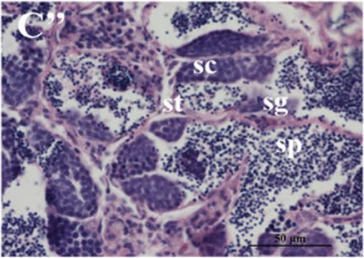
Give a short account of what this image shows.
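This testis section contains germ cells at several stages lying in a framework of somatic cells. Clusters of spermatocytes form compact groups of round cells with dark purple nuclei. Between the clusters, broad fields are filled with small dark dots, the heads of sperm. Pink strands of somatic tissue with elongated nuclei separate the compartments.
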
